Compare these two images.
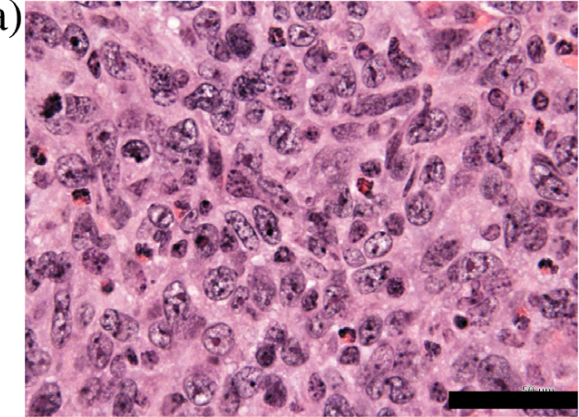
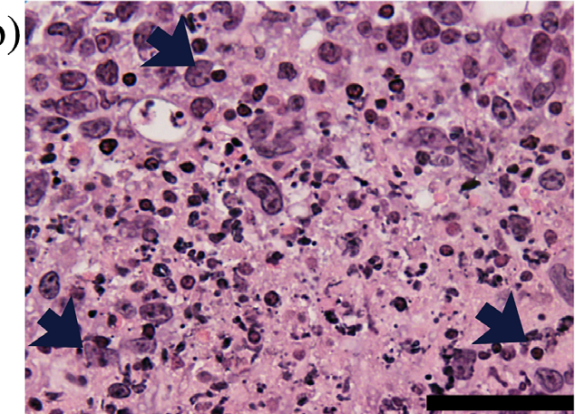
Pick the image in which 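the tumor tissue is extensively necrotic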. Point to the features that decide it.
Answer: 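Second image: scattered dark nuclear fragments and pale granular debris between fewer intact cells. First image: densely packed intact tumor cells with large nuclei and no debris-filled areas. On this evidence: the second image.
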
